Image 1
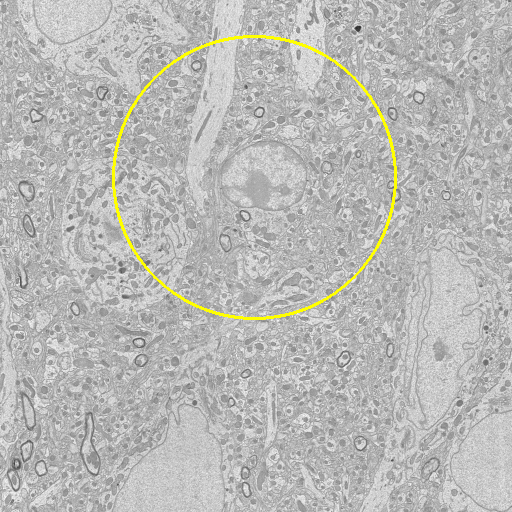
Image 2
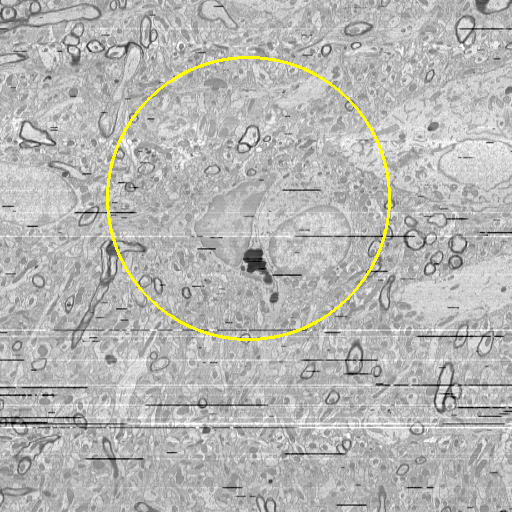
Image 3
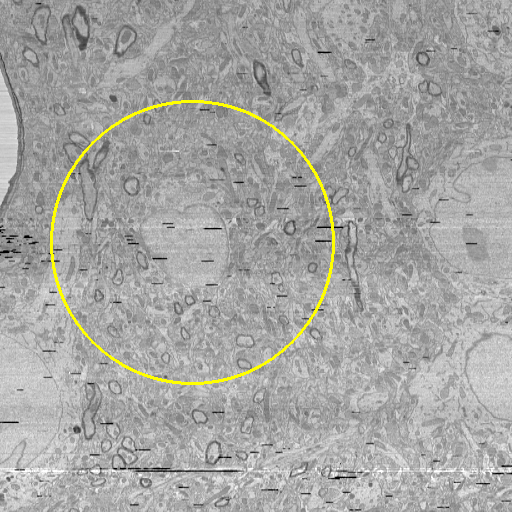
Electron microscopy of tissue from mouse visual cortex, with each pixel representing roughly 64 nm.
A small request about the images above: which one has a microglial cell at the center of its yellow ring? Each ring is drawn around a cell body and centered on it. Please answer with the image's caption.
Image 2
